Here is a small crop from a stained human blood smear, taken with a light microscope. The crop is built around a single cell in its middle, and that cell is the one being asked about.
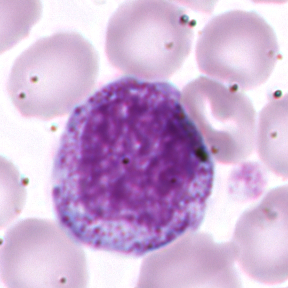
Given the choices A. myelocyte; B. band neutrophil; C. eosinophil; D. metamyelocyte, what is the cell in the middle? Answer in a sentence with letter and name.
The middle of the crop contains a myelocyte, so option A is right.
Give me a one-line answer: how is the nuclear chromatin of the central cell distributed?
The chromatin shows a fine pattern without coarse clumps.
